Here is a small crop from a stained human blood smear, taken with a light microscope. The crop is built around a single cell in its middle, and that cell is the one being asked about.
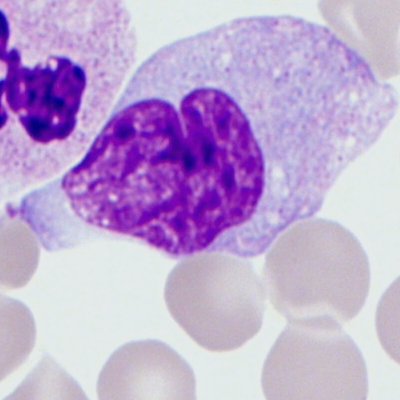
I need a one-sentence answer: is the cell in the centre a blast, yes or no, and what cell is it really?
No, the identification should read a monocyte, not a blast, for the central cell.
